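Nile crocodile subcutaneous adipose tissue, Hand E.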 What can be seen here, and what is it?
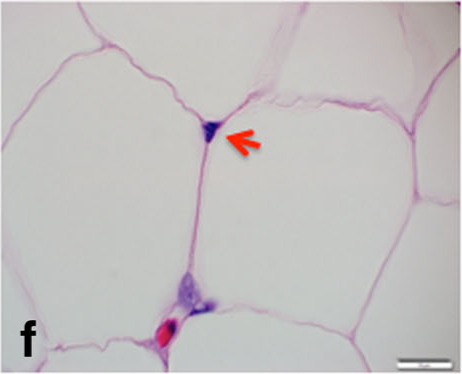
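Large polygonal adipocytes with empty, unstained interiors are separated by very thin pink walls. At a junction of these walls lies a small, condensed, dark-purple nucleus, a pyknotic nucleus. Near the lower edge a pale nucleus and an elongated red-stained cell lie in the narrow space between adipocytes.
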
